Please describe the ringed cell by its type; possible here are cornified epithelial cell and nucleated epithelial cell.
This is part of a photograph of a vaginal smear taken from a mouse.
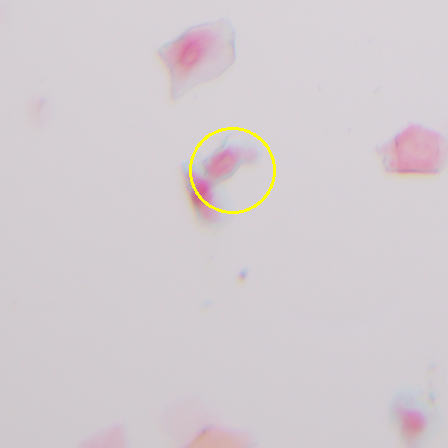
The yellow ring marks a nucleated epithelial cell.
